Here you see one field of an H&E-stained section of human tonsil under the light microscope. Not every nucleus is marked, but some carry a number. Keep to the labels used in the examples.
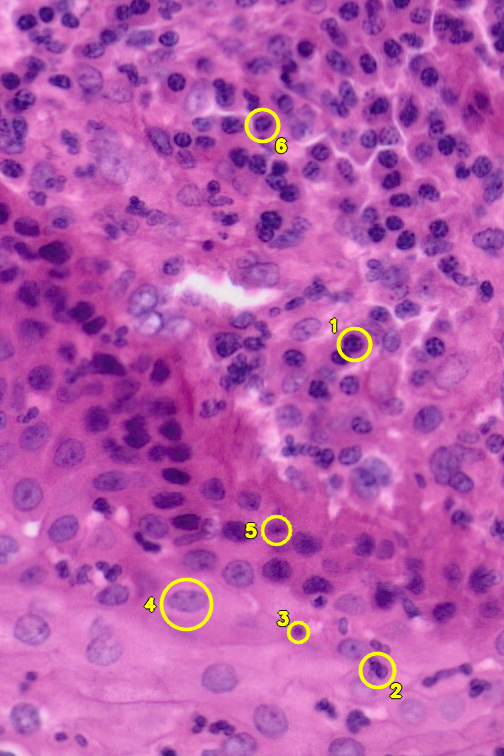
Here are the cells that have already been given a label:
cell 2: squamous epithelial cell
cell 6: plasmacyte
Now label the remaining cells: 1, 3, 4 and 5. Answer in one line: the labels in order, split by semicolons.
plasmacyte; squamous epithelial cell; squamous epithelial cell; squamous epithelial cell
